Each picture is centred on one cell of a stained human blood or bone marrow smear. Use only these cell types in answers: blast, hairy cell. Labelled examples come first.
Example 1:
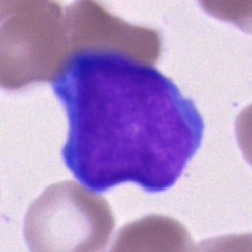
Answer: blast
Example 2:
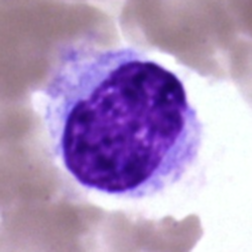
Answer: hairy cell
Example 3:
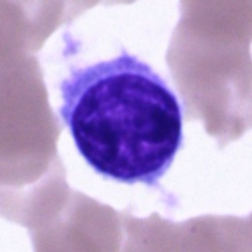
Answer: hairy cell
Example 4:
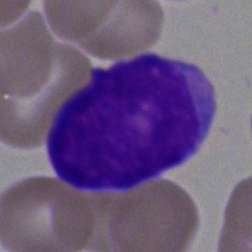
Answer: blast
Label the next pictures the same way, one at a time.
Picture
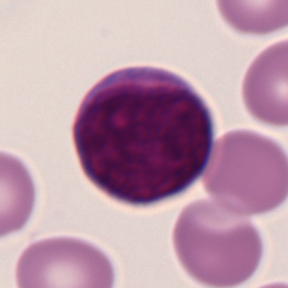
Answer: blast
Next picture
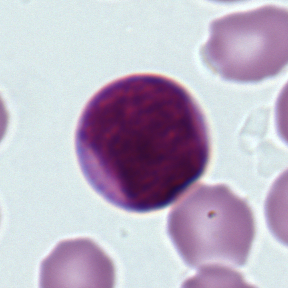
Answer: blast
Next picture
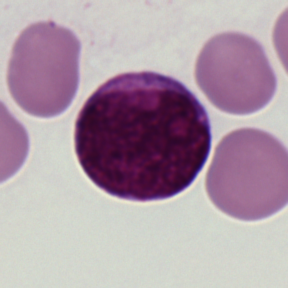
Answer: blast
